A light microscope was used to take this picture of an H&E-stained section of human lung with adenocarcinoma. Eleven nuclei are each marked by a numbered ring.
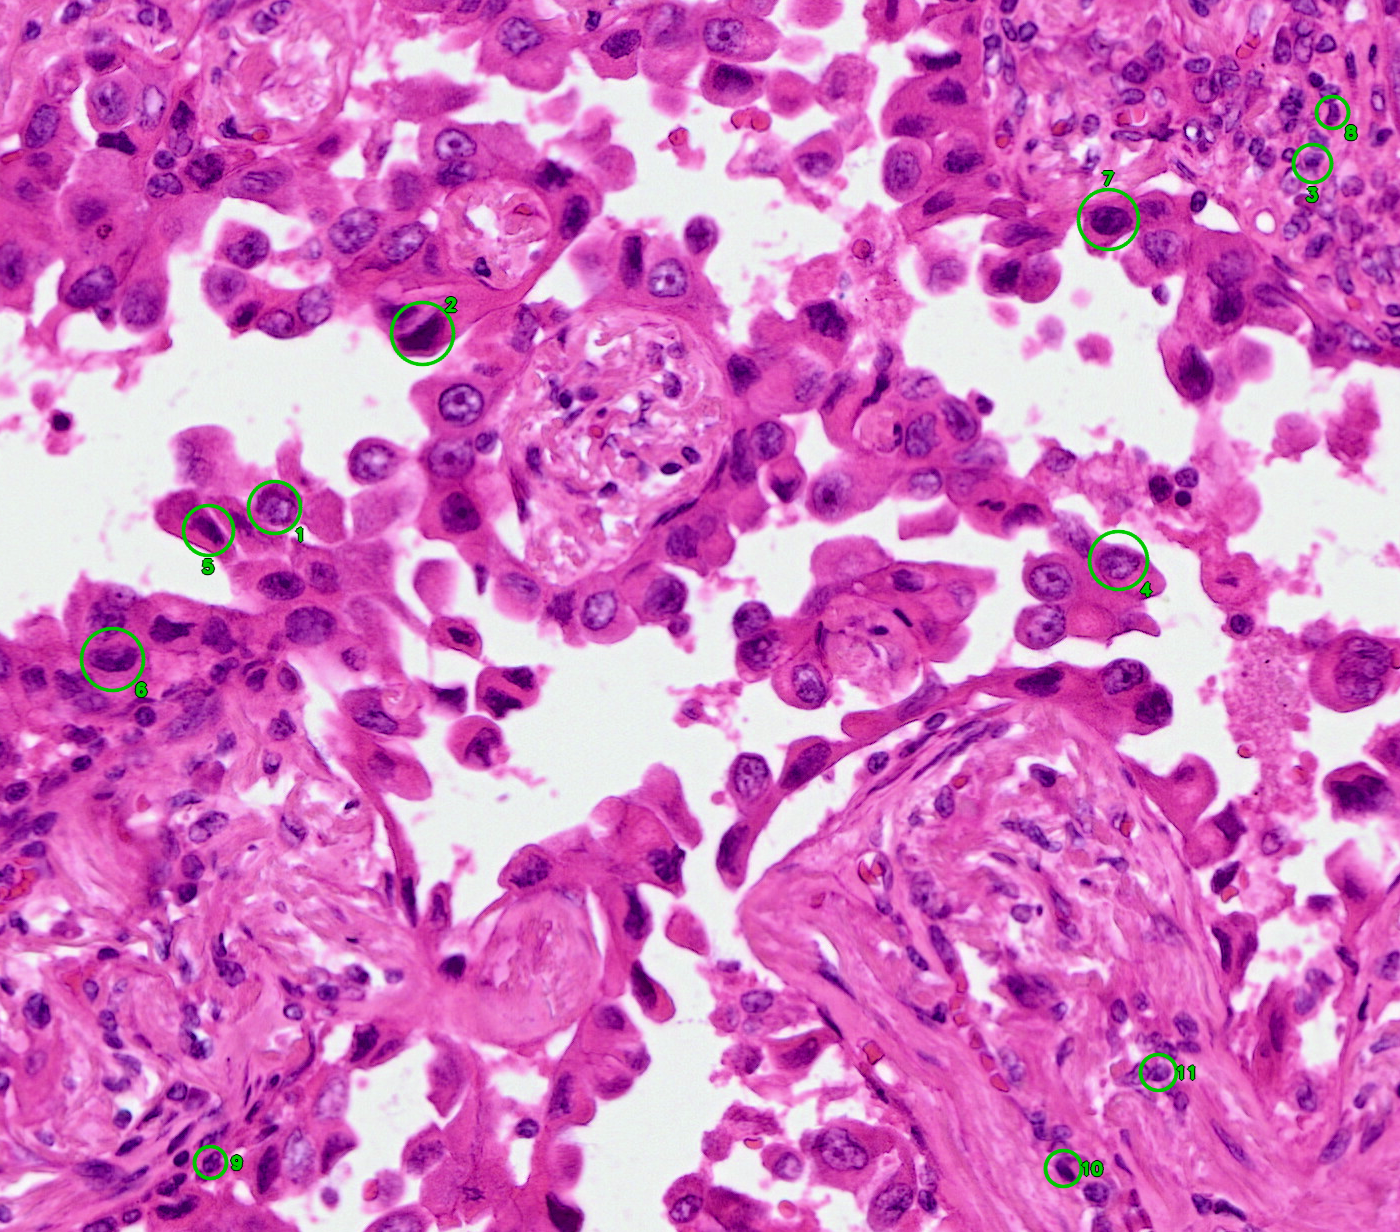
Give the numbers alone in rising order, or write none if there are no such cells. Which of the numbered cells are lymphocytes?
3, 8, 9, 11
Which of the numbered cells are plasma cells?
10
